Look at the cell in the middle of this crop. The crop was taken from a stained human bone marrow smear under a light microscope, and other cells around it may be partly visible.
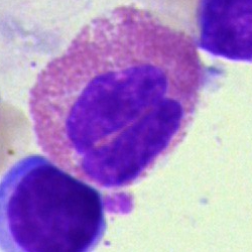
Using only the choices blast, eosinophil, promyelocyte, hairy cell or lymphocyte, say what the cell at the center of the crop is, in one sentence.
As for the cell in the middle, it is an eosinophil.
